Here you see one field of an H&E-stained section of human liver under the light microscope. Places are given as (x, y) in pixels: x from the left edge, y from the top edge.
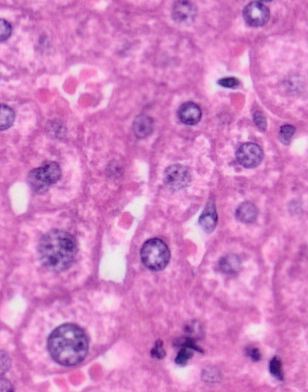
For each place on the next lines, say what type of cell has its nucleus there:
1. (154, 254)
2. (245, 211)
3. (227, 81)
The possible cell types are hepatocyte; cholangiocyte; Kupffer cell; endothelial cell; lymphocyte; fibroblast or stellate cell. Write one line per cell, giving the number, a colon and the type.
1: hepatocyte
2: hepatocyte
3: lymphocyte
